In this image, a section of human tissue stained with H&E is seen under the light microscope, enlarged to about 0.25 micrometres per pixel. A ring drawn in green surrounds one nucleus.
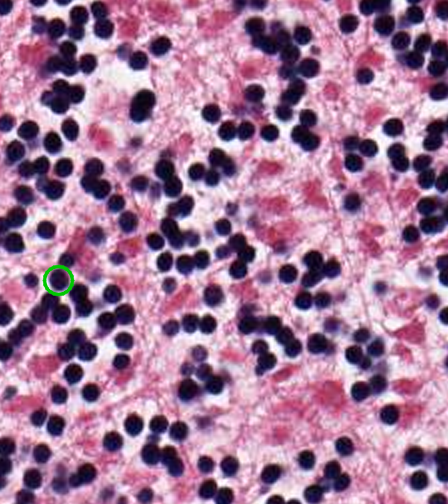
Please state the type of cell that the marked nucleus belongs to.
cerebellar granule cell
